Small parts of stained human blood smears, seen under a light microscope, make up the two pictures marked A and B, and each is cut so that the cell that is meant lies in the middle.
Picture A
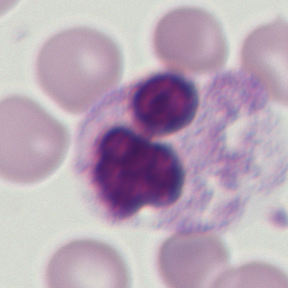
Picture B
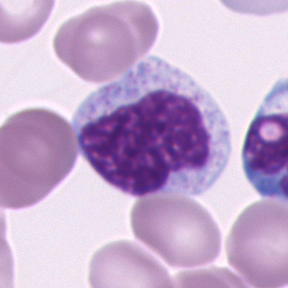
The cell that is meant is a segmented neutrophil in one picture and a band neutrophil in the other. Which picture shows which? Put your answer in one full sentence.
Picture A shows a segmented neutrophil and picture B shows a band neutrophil.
